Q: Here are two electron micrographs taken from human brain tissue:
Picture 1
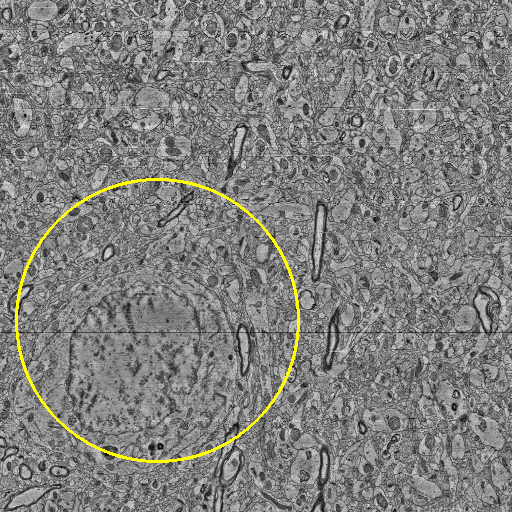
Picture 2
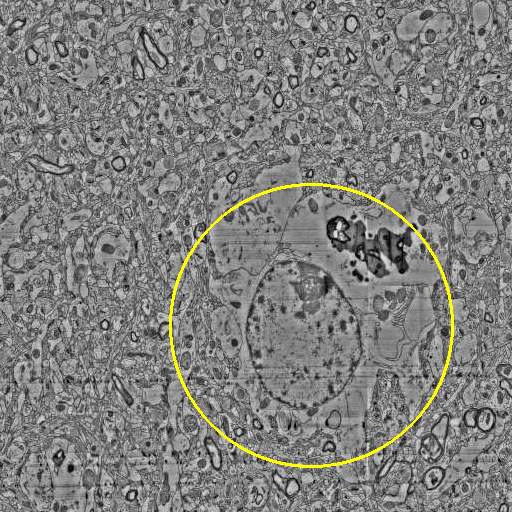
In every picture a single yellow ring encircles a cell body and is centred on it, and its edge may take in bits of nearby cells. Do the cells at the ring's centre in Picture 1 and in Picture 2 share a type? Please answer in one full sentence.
No, the cells at the ring's centre in Picture 1 and Picture 2 are of two types.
